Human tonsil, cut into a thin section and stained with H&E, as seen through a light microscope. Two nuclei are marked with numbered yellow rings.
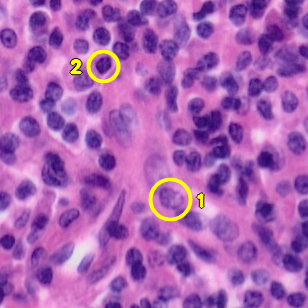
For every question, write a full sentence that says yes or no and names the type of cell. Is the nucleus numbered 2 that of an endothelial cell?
No, the cell that carries number 2 is a plasma cell, not an endothelial cell.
